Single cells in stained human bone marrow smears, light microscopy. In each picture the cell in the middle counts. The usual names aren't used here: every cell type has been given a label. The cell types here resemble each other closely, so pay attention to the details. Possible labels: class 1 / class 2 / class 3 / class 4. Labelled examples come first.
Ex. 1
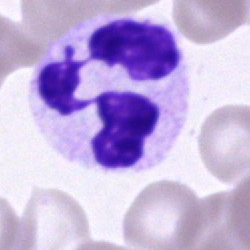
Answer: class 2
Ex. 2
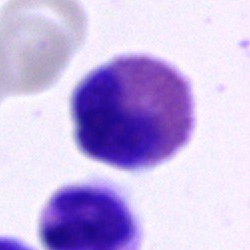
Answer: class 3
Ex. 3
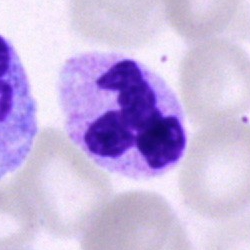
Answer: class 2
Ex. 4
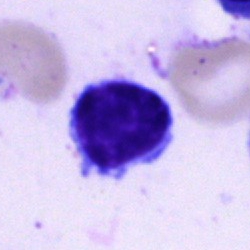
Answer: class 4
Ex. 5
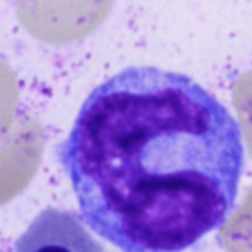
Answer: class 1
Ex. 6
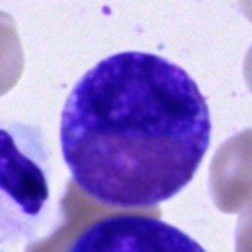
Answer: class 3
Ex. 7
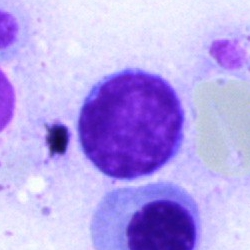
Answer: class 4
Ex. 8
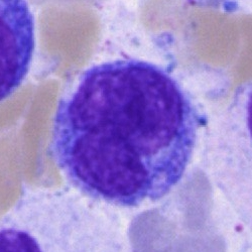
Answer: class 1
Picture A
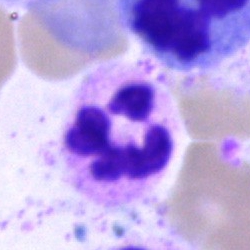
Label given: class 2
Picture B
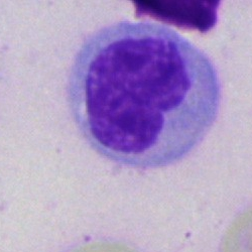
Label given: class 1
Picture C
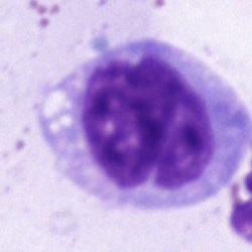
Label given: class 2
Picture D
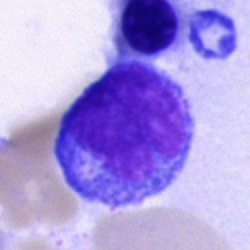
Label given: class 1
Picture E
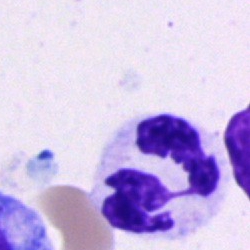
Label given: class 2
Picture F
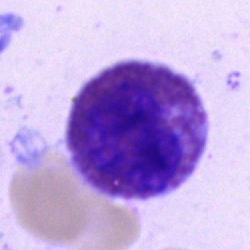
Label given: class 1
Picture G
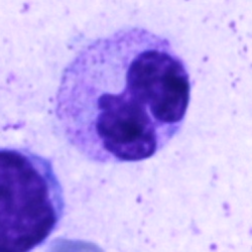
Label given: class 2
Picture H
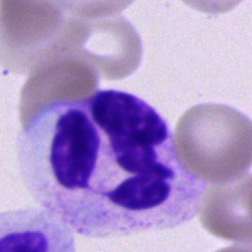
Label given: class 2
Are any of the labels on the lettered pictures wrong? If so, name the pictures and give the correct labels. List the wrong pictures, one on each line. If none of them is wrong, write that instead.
Wrong: C (class 2); correct: class 1
Wrong: F (class 1); correct: class 3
